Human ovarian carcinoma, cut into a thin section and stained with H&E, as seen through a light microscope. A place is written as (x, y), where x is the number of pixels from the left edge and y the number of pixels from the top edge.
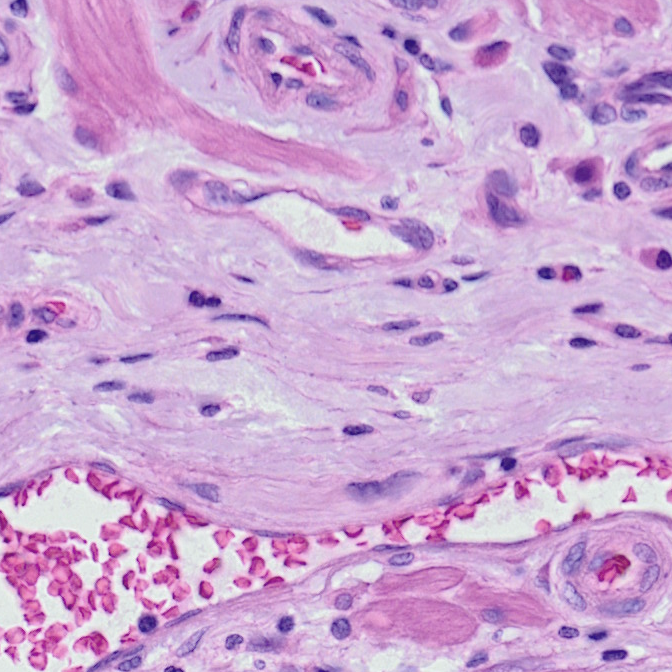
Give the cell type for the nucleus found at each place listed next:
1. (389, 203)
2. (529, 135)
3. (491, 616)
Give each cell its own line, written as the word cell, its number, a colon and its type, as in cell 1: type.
cell 1: lymphocyte
cell 2: lymphocyte
cell 3: smooth muscle cell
